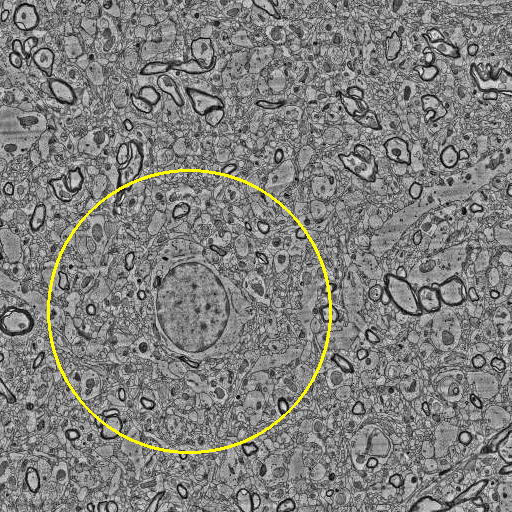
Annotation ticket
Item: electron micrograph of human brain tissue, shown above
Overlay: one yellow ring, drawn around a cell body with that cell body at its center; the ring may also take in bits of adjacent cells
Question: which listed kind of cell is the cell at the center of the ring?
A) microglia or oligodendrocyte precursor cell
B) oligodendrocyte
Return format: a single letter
A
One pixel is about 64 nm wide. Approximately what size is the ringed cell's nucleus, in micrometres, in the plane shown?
About 6 by 5 micrometres in this plane.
